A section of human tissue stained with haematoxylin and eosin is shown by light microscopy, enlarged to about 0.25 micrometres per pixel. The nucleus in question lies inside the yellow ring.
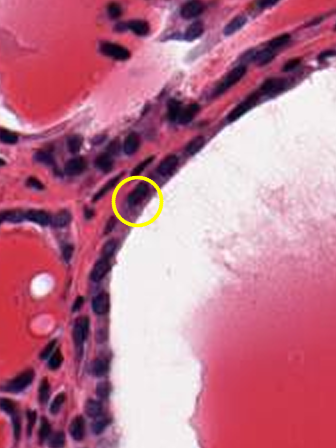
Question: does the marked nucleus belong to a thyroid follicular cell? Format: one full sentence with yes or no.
Yes, the marked nucleus is that of a thyroid follicular cell.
